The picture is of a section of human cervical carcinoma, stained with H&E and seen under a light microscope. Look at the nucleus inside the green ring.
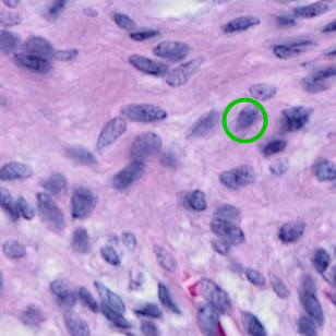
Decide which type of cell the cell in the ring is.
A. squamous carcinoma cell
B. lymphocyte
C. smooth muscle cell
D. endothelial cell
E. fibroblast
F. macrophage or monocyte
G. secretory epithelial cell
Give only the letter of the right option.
E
